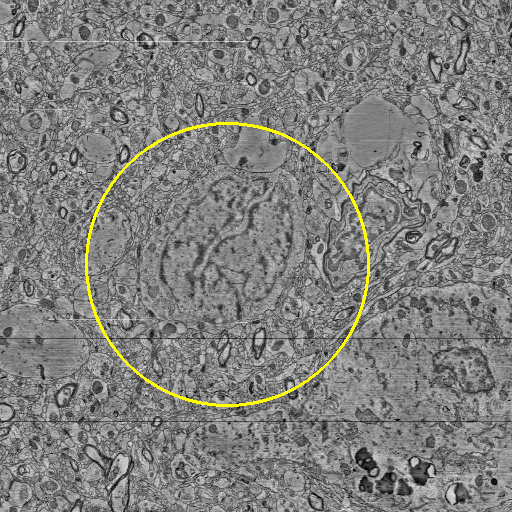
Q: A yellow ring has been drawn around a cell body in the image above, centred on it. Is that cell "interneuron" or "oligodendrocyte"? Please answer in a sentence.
The ring surrounds the cell body of an interneuron.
